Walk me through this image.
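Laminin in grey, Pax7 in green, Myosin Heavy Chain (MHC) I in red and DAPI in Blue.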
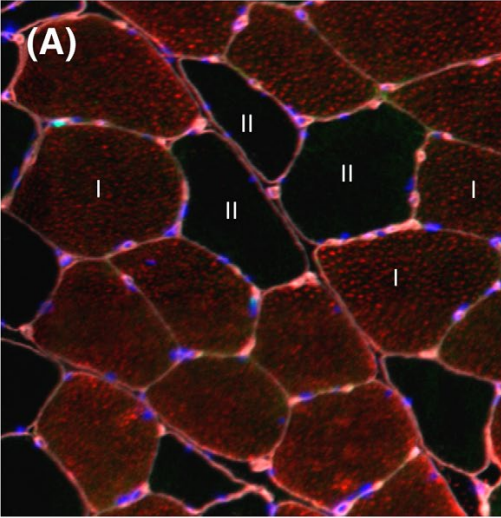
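This is a cross-section of skeletal muscle in which the fibers appear as closely packed polygonal profiles, each bounded by a thin grey outline. Small blue nuclei lie at the edges of the fibers, mostly squeezed against or between the grey borders, with a few in the spaces between fibers.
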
